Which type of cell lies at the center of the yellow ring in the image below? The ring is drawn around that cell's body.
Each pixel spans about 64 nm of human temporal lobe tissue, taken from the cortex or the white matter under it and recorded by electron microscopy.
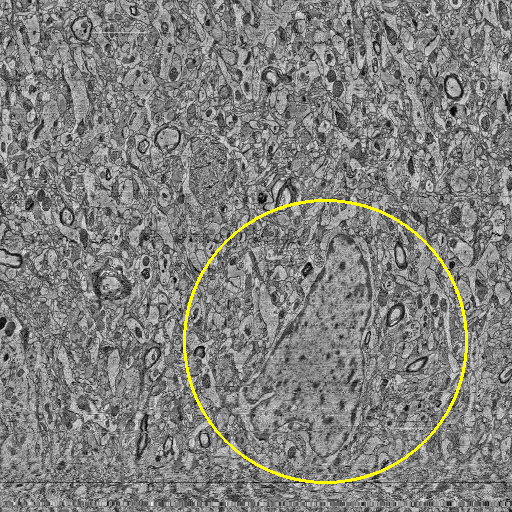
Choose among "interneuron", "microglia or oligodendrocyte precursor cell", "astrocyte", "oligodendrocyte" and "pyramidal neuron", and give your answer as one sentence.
The cell body at the center belongs to a microglial cell or oligodendrocyte precursor cell.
